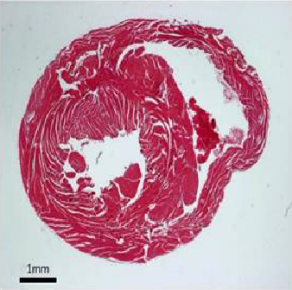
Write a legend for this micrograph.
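The left ventricular wall forms a broad, thick ring of muscle bundles around a small, irregular central cavity. A thinner crescent of wall runs along one side of it.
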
